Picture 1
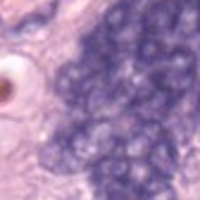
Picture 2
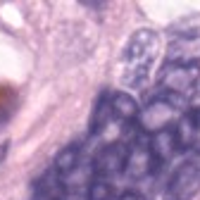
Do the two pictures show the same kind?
Yes, both are syncytial knots.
